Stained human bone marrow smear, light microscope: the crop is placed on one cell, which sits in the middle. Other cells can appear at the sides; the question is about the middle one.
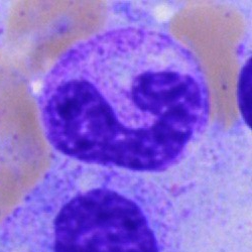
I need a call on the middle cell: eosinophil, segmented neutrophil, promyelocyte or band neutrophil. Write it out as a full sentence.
The cell at the central position in this crop is a band neutrophil.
